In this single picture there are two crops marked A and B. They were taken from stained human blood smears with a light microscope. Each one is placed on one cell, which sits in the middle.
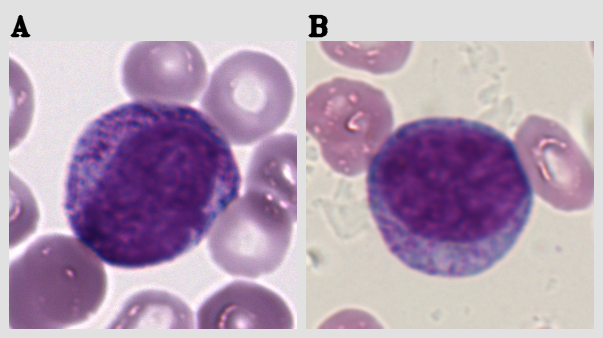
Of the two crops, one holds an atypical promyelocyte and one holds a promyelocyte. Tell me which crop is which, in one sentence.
Well, crop A is an atypical promyelocyte, and crop B is a promyelocyte.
